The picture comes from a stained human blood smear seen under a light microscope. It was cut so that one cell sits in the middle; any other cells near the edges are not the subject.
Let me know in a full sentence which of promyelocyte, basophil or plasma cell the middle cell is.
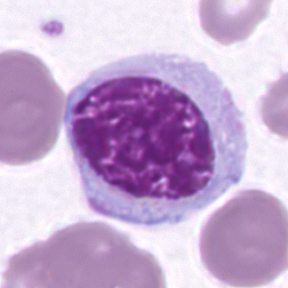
Regarding the central cell, it is a plasma cell.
